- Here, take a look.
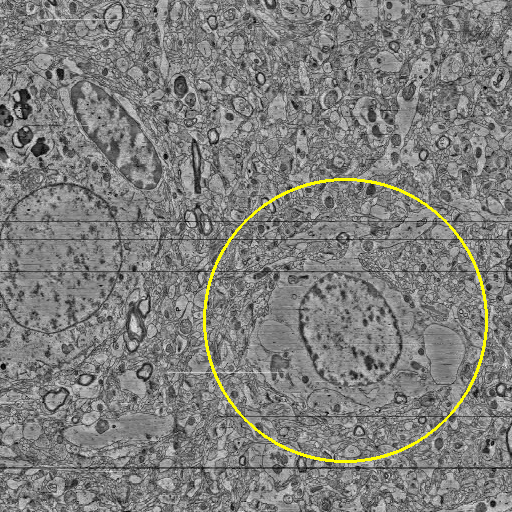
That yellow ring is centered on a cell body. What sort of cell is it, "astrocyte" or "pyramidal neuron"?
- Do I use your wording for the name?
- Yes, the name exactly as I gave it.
astrocyte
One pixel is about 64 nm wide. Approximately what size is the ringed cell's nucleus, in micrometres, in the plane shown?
The nucleus has a long axis of about 8 micrometres and a short axis of about 6 micrometres in this plane.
